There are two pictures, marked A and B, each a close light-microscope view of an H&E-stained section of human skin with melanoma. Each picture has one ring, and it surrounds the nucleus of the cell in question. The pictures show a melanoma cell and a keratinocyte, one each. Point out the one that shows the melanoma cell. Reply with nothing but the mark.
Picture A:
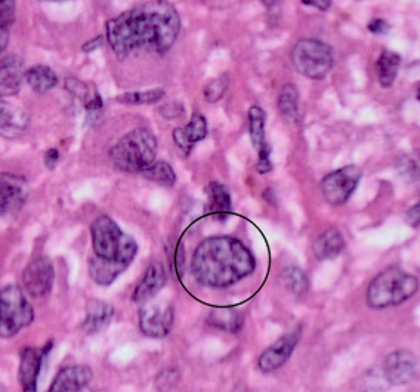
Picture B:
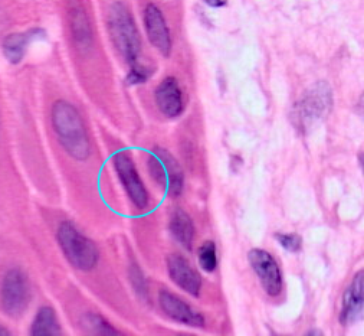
A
